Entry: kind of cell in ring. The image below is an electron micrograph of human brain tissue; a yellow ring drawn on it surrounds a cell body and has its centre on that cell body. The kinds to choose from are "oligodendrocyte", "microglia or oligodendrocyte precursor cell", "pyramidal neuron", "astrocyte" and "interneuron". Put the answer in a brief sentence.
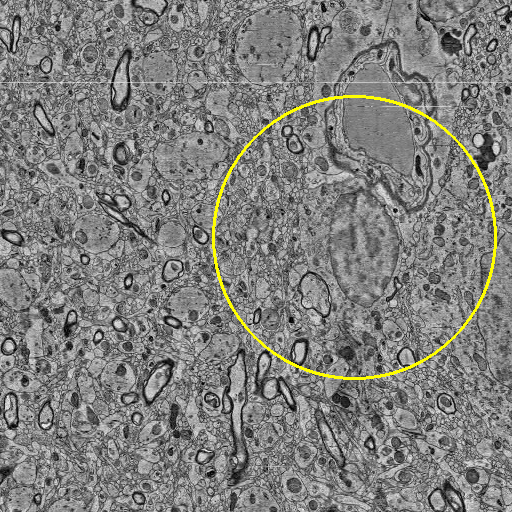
The ring has been drawn around an oligodendrocyte.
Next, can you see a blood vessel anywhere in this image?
Yes.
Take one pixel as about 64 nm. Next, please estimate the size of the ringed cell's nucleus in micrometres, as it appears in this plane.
Approximately 8 by 5 micrometers, which makes the nucleus clearly longer than it is wide in this plane.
